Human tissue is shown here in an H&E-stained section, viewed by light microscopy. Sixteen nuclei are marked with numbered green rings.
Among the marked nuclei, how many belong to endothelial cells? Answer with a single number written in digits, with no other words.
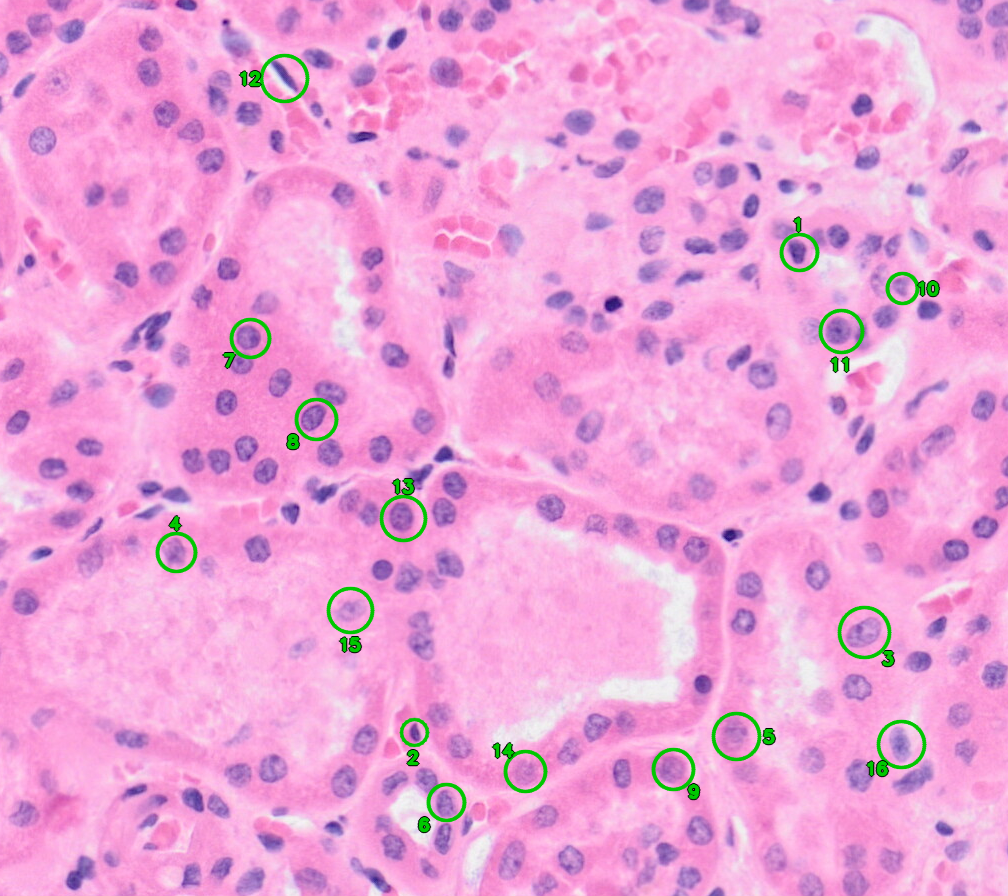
3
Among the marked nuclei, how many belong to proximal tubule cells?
9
